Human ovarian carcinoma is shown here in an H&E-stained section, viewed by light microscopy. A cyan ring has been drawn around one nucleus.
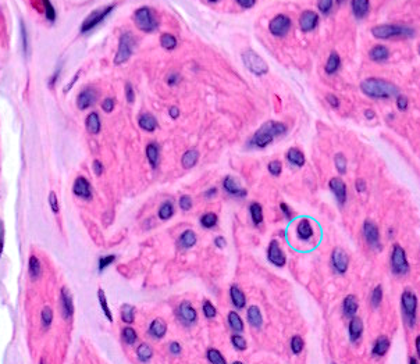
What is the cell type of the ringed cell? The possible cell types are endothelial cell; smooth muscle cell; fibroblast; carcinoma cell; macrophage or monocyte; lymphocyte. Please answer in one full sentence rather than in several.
Considered by cell type, the ringed cell is a smooth muscle cell.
